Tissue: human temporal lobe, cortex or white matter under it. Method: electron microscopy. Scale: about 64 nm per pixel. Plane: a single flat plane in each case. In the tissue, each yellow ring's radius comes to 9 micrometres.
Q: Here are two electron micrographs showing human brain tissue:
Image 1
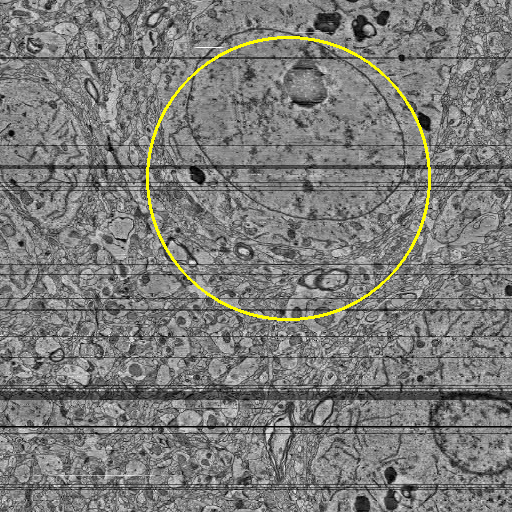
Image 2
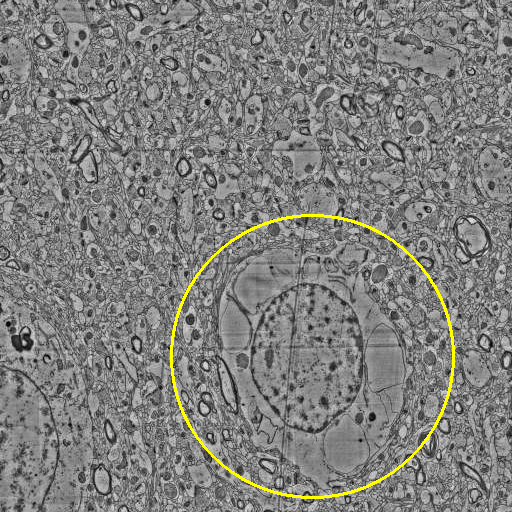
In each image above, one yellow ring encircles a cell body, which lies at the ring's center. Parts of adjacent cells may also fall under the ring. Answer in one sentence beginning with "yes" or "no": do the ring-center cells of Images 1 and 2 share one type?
No, in Images 1 and 2, the ring-center cells are of two types.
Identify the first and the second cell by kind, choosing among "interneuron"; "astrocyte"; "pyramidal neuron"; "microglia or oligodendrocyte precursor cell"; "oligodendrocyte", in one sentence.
The one in the first picture is a pyramidal neuron, while the one in the second is an astrocyte.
